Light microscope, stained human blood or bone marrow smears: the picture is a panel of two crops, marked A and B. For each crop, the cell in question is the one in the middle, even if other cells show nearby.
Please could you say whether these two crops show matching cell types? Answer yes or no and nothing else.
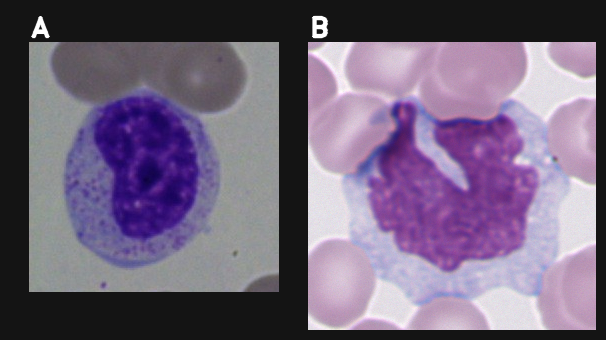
no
